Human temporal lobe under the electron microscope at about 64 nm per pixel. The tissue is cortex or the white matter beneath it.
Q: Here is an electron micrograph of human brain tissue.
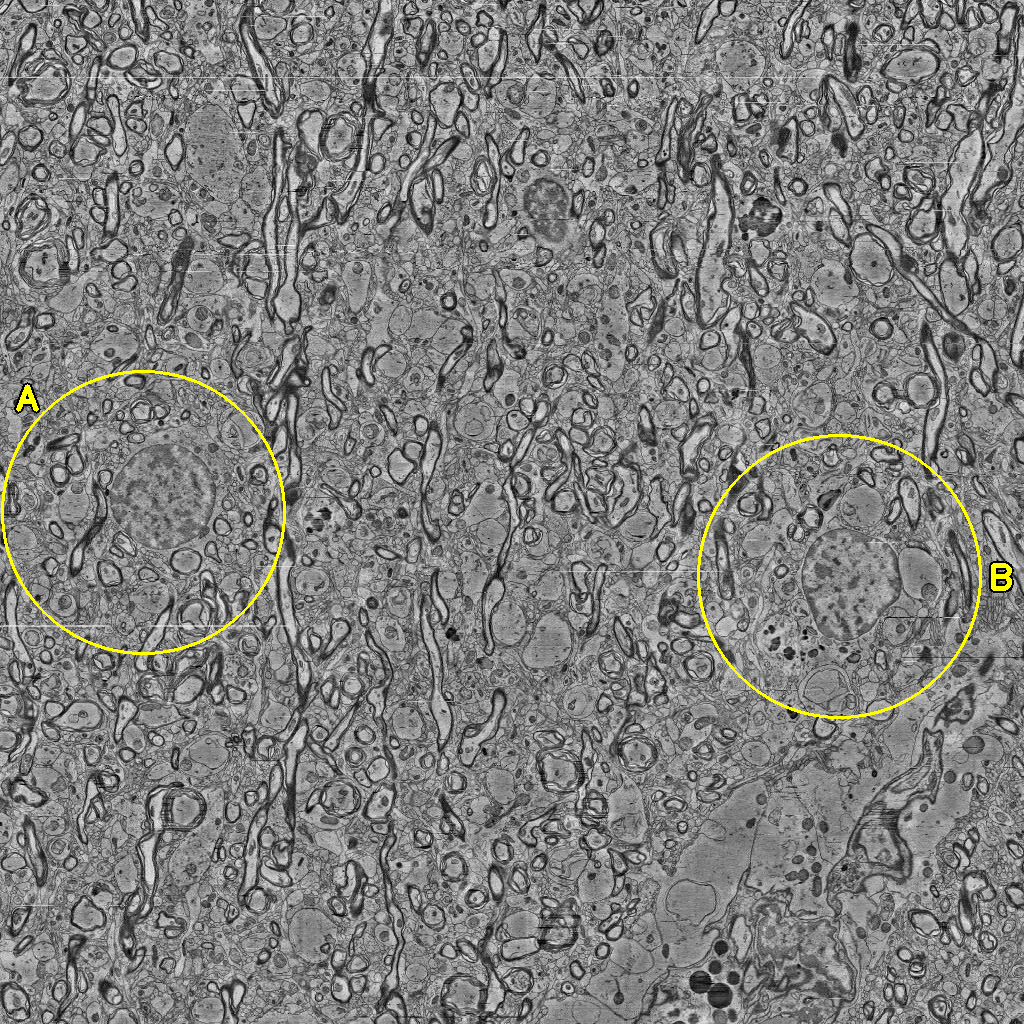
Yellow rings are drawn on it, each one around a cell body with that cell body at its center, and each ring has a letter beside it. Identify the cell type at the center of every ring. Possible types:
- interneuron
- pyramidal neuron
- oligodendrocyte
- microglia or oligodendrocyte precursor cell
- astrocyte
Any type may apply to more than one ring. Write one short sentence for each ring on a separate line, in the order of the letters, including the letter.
Centered in ring A is an oligodendrocyte.
Centered in ring B is a microglial cell or oligodendrocyte precursor cell.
